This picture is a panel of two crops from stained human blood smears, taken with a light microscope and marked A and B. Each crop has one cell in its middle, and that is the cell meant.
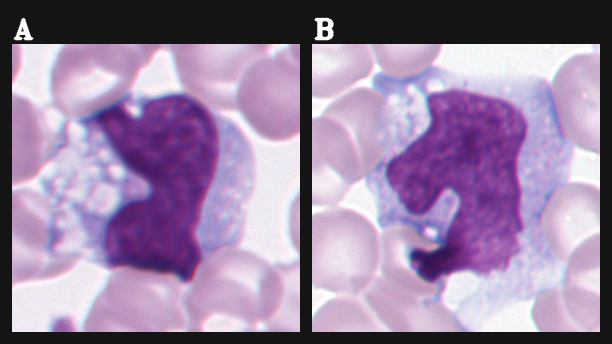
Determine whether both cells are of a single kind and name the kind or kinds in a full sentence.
Yes, the cells that both crops show at the centre are monocytes.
